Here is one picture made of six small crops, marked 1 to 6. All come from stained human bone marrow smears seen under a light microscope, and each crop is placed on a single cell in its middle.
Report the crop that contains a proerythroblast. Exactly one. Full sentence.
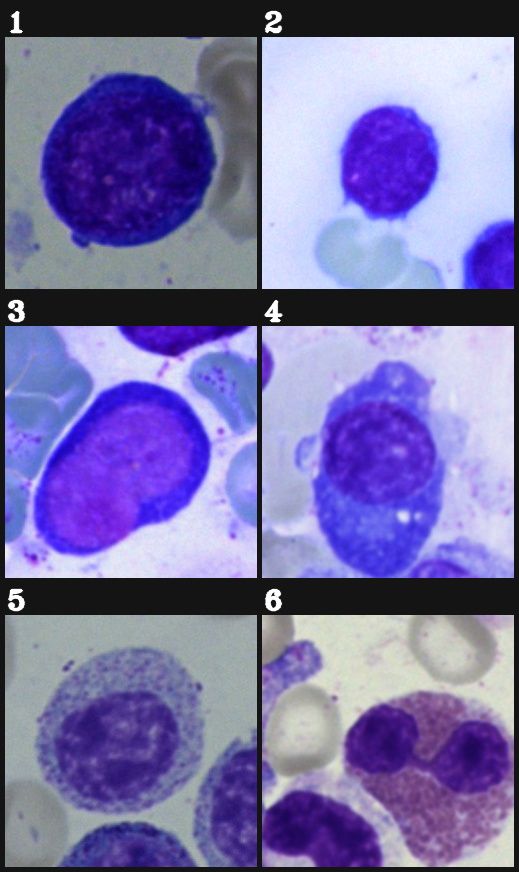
Among the crops provided, a proerythroblast occupies the center of crop 3.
